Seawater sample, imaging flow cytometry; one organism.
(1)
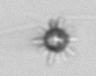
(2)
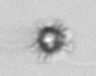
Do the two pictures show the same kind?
Yes, both are Rhabdosphaera.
